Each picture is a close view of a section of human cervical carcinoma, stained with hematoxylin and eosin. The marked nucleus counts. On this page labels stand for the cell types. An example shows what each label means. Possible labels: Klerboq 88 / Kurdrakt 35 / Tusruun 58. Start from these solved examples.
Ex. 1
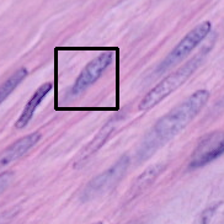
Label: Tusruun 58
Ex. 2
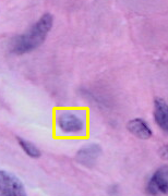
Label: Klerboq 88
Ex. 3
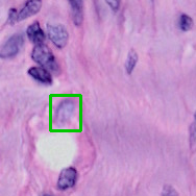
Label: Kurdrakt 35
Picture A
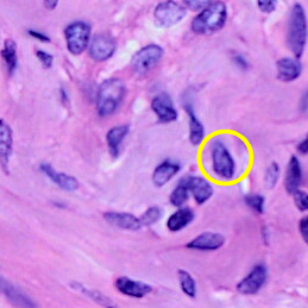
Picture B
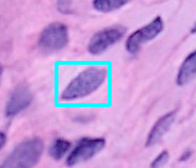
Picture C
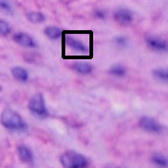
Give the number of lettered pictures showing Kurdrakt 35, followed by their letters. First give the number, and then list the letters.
0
